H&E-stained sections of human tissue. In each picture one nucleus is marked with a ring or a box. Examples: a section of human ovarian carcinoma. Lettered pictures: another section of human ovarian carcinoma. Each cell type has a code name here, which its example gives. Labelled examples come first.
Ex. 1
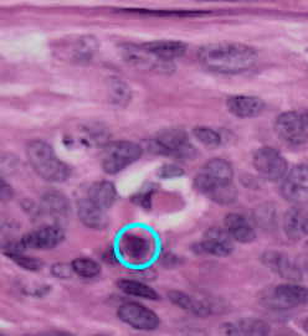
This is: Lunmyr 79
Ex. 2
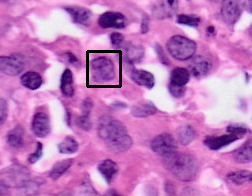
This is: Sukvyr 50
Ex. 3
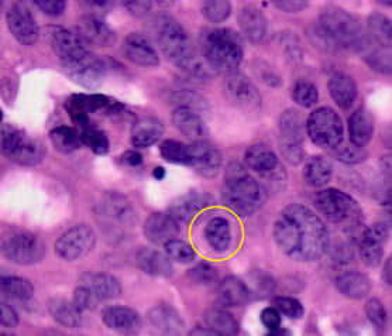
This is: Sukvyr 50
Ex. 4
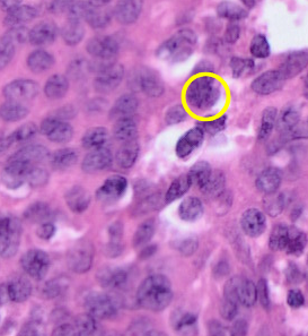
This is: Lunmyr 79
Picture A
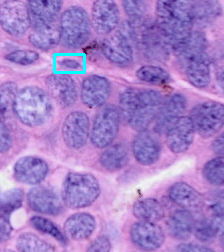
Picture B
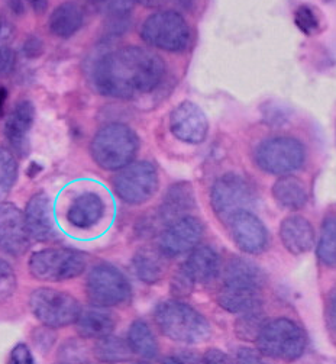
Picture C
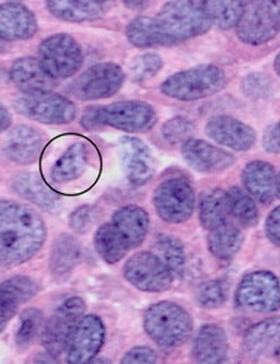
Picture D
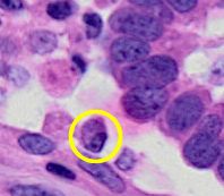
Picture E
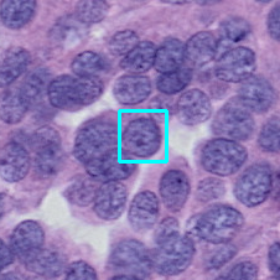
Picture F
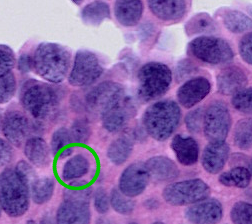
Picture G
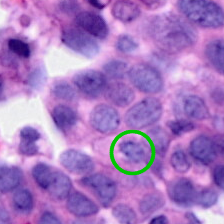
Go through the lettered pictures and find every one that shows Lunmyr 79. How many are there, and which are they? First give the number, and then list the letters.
2: E, F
